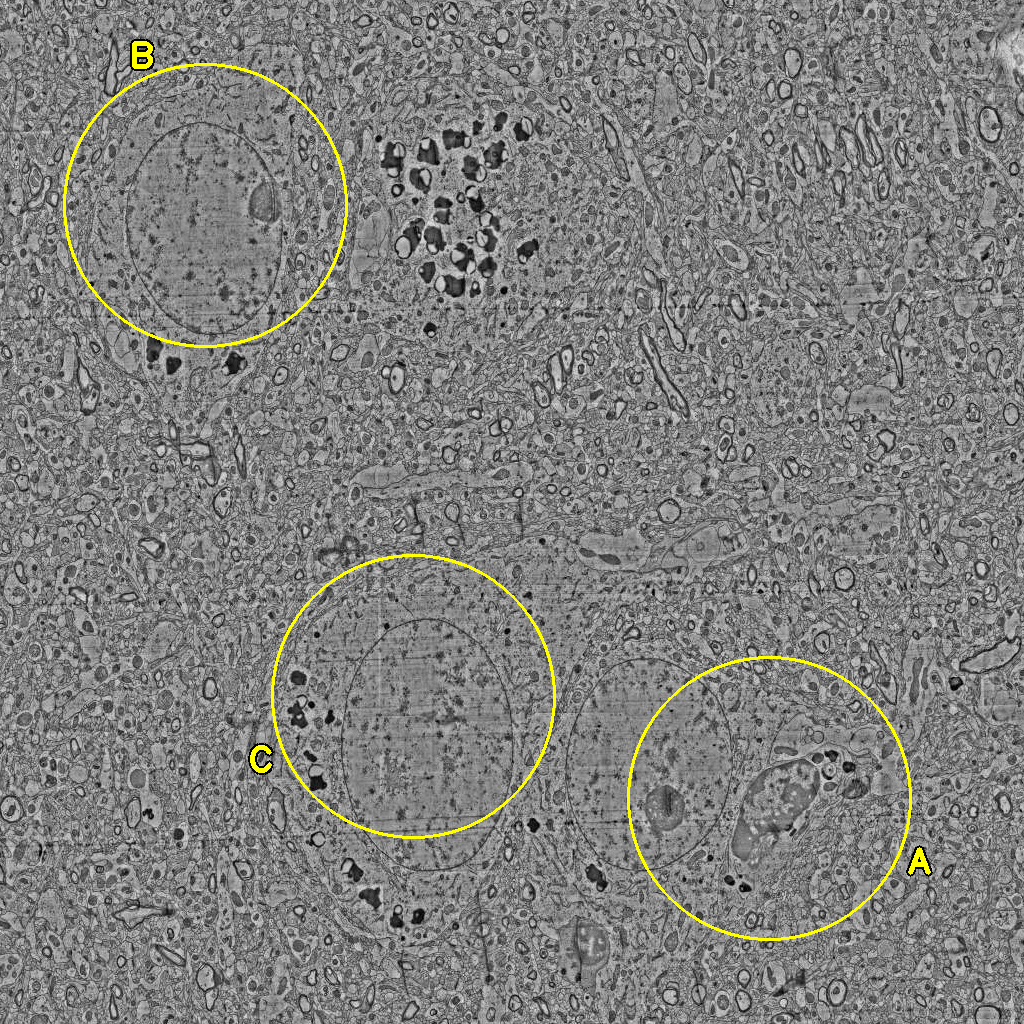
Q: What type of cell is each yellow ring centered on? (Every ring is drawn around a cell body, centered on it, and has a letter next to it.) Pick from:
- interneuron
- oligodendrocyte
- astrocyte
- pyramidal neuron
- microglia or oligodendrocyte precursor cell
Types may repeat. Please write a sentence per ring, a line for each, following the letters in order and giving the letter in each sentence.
The cell body centered in ring A belongs to a microglial cell or oligodendrocyte precursor cell.
The cell body centered in ring B belongs to a pyramidal neuron.
The cell body centered in ring C belongs to a pyramidal neuron.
